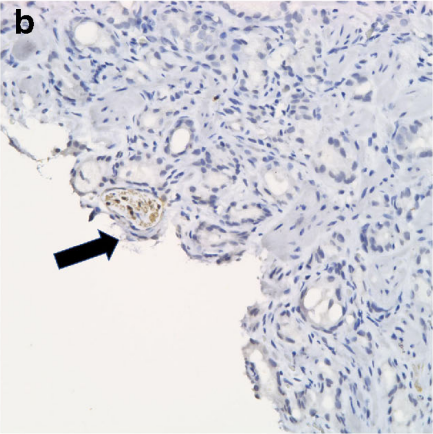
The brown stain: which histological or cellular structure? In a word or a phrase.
Nerve-like structure.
